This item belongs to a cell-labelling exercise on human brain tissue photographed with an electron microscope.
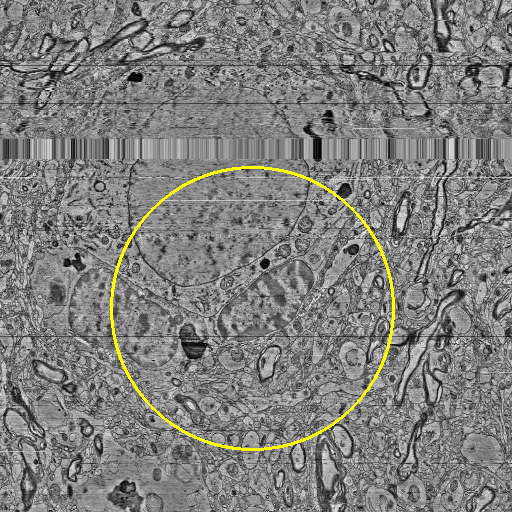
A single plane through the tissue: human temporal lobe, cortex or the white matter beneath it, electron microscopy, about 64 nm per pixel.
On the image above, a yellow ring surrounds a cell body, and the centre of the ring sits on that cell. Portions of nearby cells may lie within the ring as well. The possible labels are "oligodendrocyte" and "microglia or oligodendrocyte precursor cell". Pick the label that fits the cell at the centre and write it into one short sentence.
This cell should be labelled as a microglial cell or oligodendrocyte precursor cell.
